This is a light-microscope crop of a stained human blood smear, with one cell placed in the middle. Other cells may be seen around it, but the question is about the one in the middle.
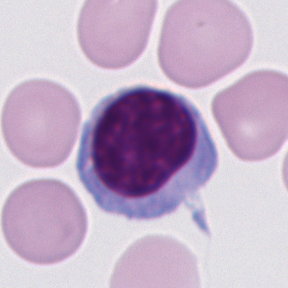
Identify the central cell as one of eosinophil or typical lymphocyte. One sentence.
Located at the centre of the crop is a typical lymphocyte.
